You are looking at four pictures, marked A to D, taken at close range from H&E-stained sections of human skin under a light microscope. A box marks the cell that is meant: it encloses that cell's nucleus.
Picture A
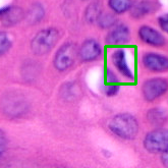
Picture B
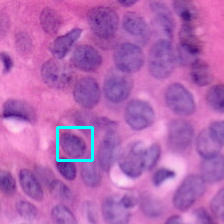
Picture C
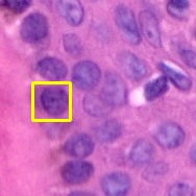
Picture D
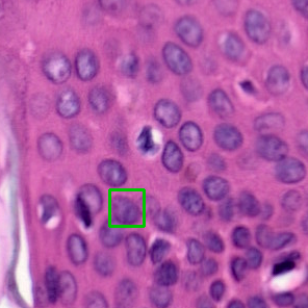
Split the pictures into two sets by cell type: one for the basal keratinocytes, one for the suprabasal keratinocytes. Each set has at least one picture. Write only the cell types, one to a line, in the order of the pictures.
basal keratinocyte
basal keratinocyte
basal keratinocyte
suprabasal keratinocyte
